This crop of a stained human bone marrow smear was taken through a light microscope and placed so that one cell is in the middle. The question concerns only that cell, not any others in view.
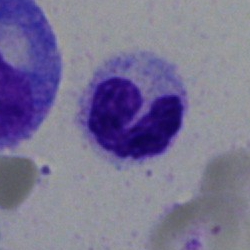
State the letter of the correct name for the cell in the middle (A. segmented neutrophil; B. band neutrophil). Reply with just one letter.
A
